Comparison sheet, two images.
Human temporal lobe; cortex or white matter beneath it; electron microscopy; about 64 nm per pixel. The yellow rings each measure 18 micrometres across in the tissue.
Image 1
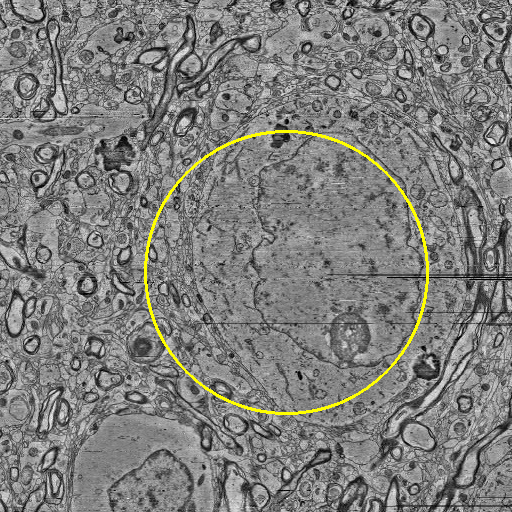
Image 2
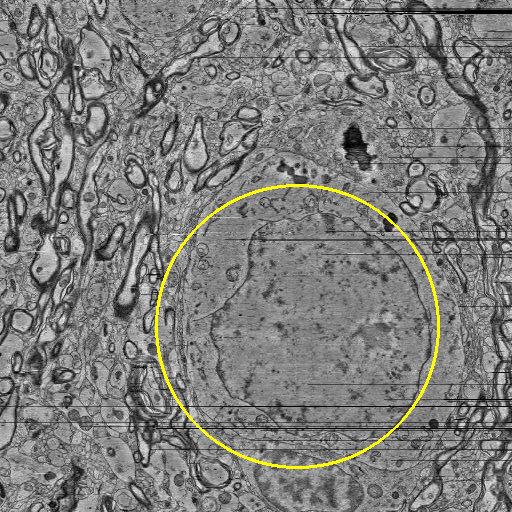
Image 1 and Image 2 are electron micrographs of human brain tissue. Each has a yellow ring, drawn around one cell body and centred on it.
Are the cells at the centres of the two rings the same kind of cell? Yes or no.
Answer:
yes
